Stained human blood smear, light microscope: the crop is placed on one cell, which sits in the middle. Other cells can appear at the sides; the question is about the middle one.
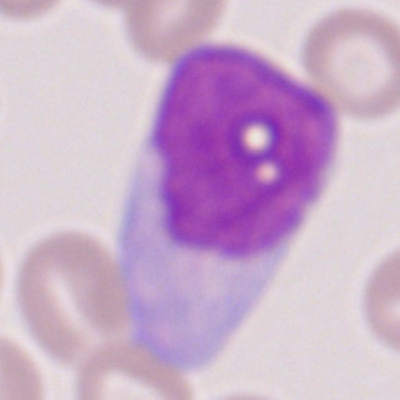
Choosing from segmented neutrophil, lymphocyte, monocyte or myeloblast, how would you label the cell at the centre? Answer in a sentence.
The cell at the middle of the frame should be recorded as a monocyte.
